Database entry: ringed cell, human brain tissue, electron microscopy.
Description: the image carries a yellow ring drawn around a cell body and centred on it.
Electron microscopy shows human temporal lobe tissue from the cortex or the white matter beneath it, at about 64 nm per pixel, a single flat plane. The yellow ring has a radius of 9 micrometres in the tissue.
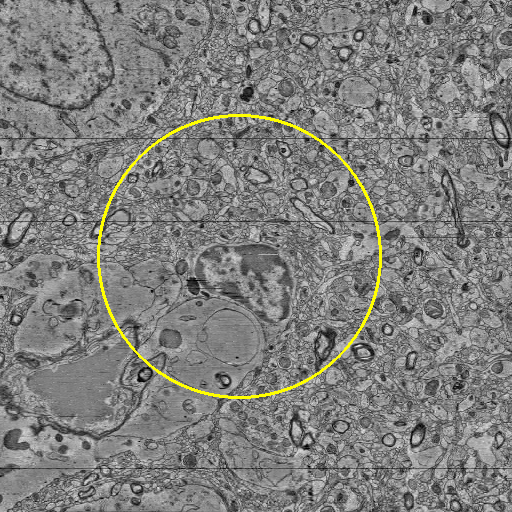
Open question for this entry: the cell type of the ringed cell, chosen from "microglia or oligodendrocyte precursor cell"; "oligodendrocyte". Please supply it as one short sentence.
The ringed cell is a microglial cell or oligodendrocyte precursor cell.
